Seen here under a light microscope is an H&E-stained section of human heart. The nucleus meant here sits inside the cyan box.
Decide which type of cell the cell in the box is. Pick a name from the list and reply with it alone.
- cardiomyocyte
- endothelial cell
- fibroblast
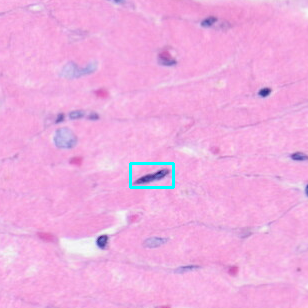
endothelial cell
